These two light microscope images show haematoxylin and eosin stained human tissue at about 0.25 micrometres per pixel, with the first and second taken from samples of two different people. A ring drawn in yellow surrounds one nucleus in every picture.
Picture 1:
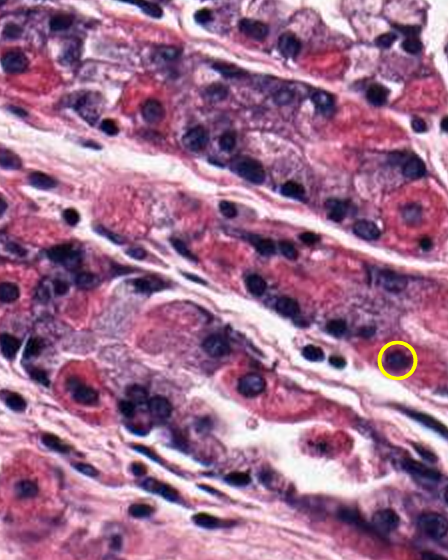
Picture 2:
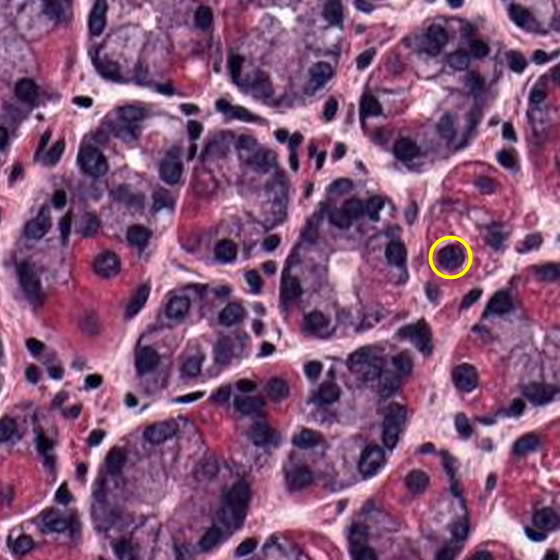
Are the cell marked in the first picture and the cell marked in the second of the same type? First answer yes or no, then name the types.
Yes, both are parietal cells.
